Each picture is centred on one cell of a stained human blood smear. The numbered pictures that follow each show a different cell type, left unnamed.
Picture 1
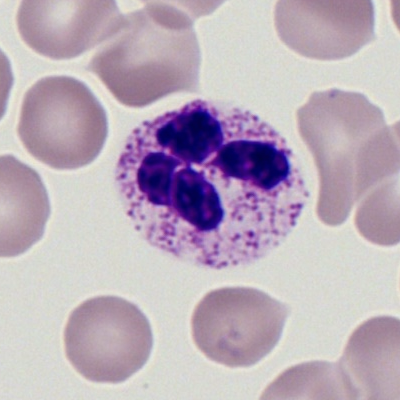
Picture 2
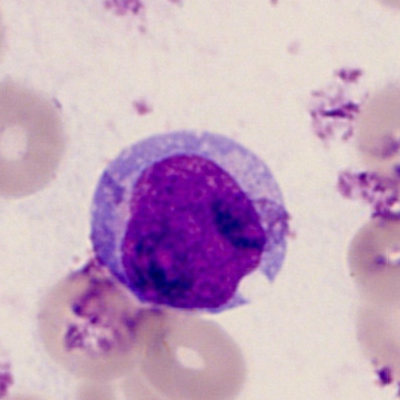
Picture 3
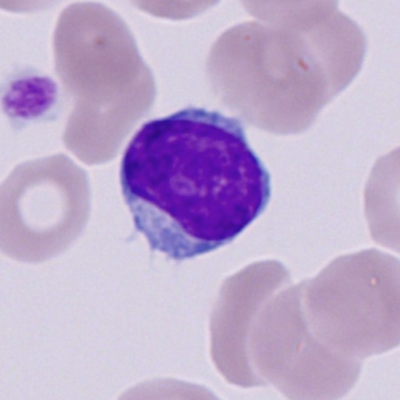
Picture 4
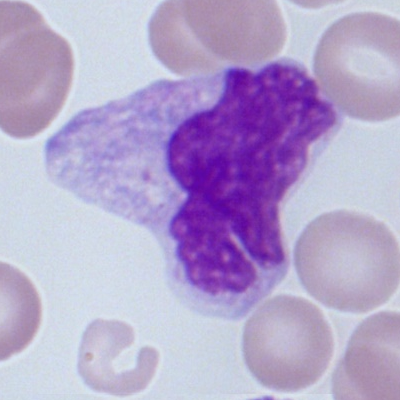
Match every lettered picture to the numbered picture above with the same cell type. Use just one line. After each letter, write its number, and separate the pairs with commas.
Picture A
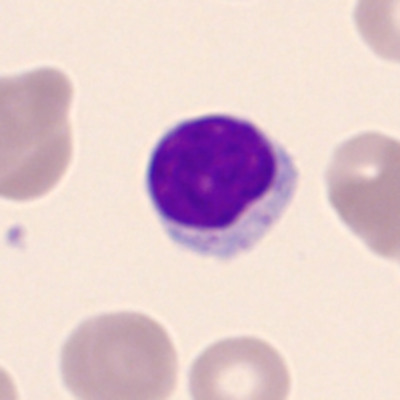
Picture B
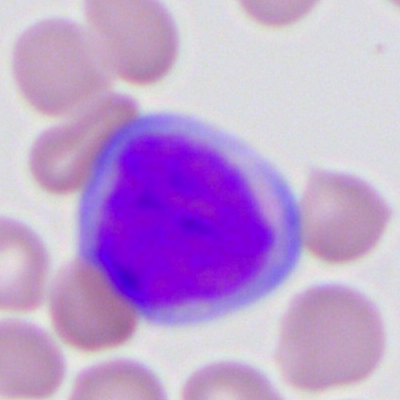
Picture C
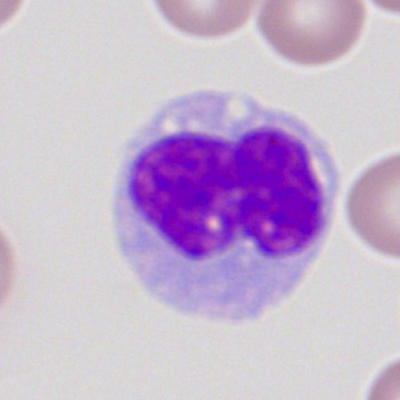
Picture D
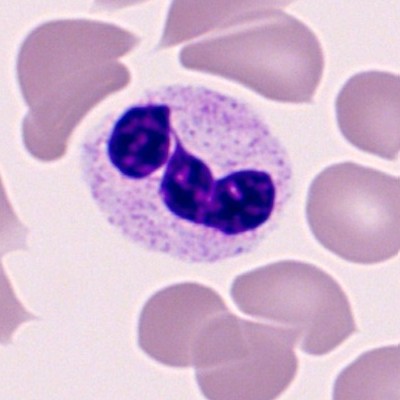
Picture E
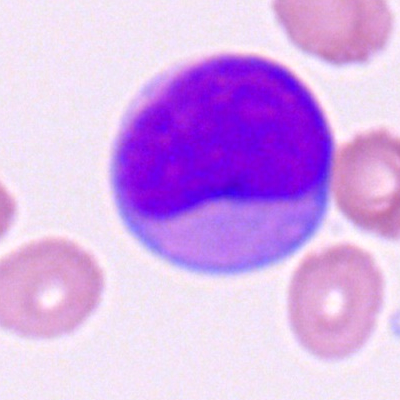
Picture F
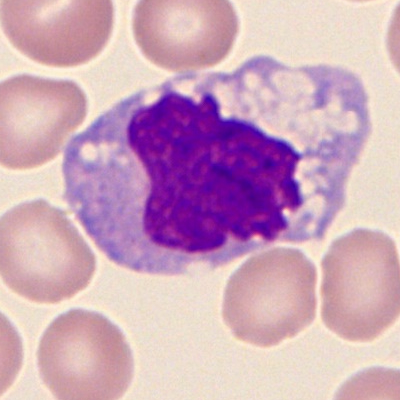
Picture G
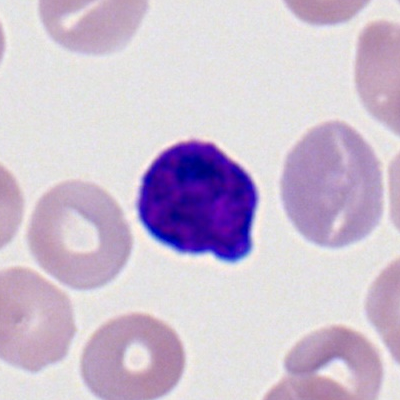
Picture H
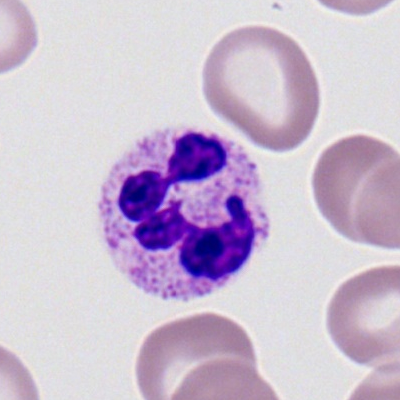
A 3, B 2, C 4, D 1, E 2, F 4, G 3, H 1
